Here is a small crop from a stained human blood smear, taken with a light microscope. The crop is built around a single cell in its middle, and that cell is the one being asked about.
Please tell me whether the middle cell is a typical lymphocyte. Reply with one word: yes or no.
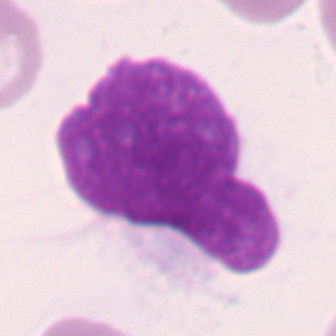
no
